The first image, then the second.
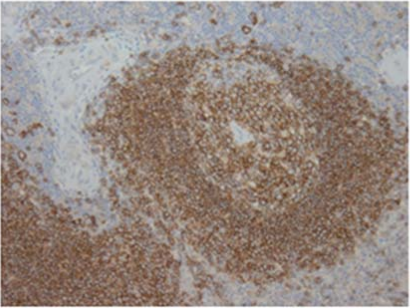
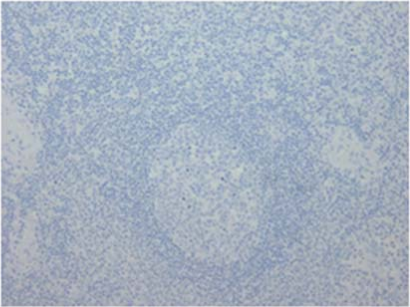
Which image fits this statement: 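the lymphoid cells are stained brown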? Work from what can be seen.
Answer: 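Second image: lymphoid cells show only blue nuclei with no brown staining. First image: the follicle and surrounding lymphoid cells are densely stained brown.
Answer: the first image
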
